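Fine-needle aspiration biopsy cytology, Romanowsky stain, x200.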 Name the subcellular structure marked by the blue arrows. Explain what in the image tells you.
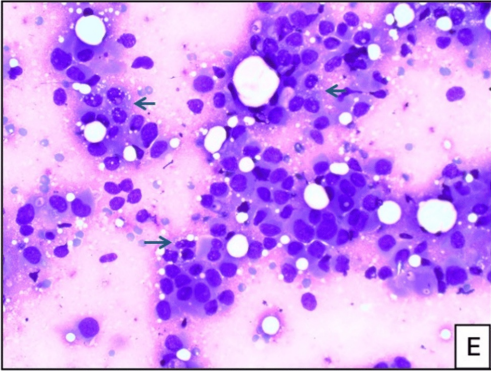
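Round clear spaces of varying size lie within the cytoplasm of the clustered cells. Some clear spaces are larger than the nuclei.
Hence: Cytoplasmic vacuoles.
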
